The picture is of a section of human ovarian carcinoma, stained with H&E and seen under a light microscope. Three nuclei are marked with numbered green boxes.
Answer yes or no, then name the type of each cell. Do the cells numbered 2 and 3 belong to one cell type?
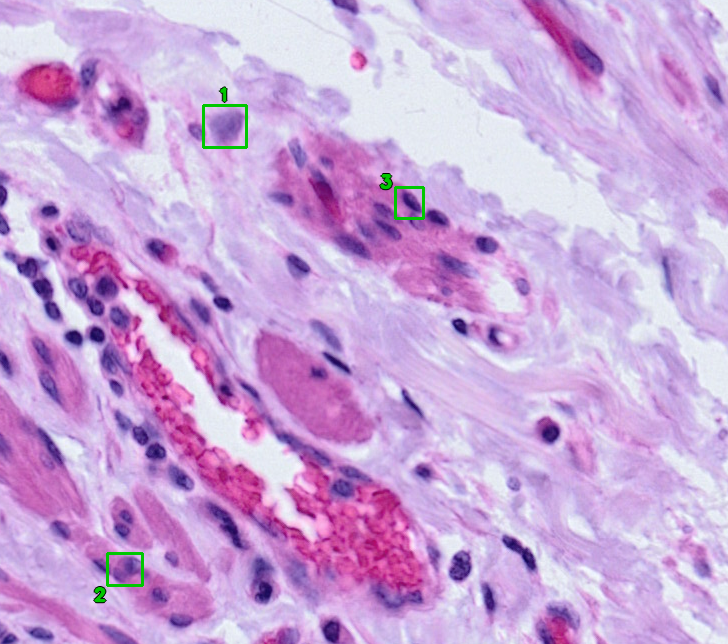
Yes, both are smooth muscle cells.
